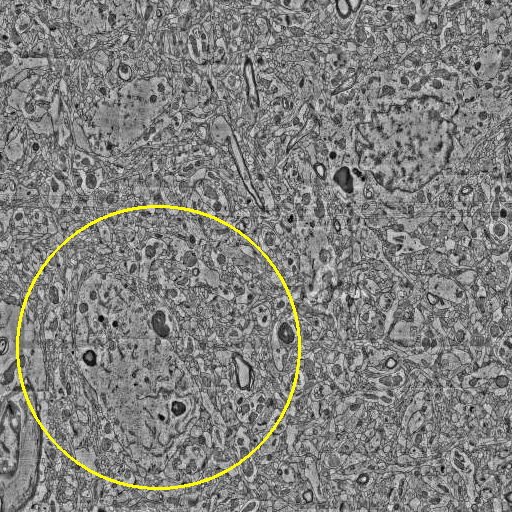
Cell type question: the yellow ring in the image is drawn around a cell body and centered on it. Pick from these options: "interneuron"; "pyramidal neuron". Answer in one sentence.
The ringed cell at the center is a pyramidal neuron.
